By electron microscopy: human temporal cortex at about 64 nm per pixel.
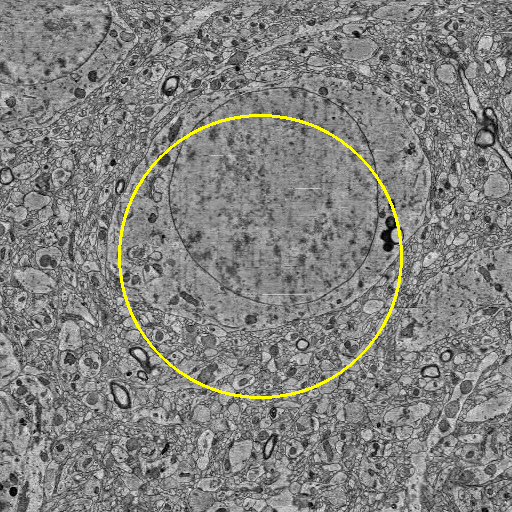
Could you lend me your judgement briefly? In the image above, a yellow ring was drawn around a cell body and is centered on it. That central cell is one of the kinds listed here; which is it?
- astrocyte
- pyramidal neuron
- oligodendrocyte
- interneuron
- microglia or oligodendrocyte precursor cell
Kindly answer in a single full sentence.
Going by the list, a pyramidal neuron is the kind at the ring's center in the picture.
